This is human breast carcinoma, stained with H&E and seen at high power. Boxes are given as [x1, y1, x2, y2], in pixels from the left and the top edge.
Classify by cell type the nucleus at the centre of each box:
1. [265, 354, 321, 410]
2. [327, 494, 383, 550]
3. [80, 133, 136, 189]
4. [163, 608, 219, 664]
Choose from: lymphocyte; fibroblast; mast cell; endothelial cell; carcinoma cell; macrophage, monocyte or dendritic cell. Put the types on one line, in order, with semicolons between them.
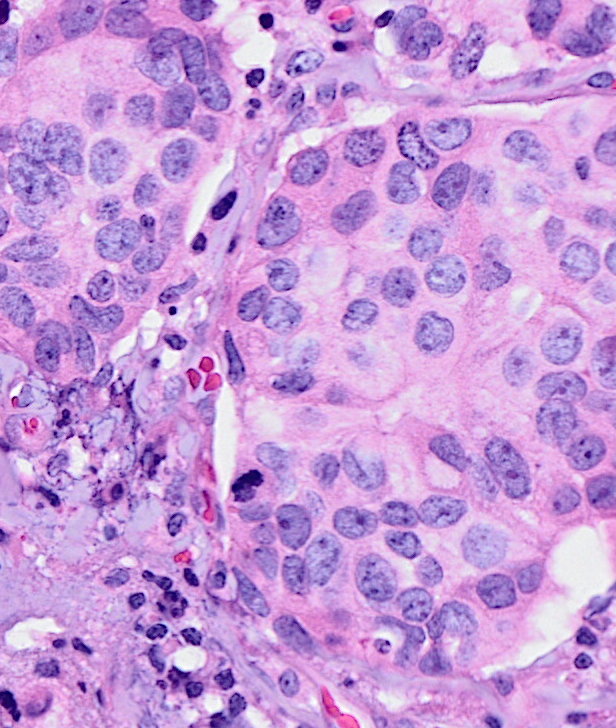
carcinoma cell; carcinoma cell; carcinoma cell; lymphocyte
